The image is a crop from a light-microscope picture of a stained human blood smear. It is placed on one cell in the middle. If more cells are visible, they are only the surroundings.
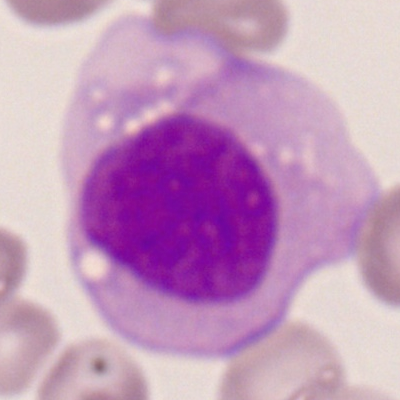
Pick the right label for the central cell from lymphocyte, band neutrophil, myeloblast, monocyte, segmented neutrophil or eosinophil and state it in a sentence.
The middle cell in this particular crop is a monocyte.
